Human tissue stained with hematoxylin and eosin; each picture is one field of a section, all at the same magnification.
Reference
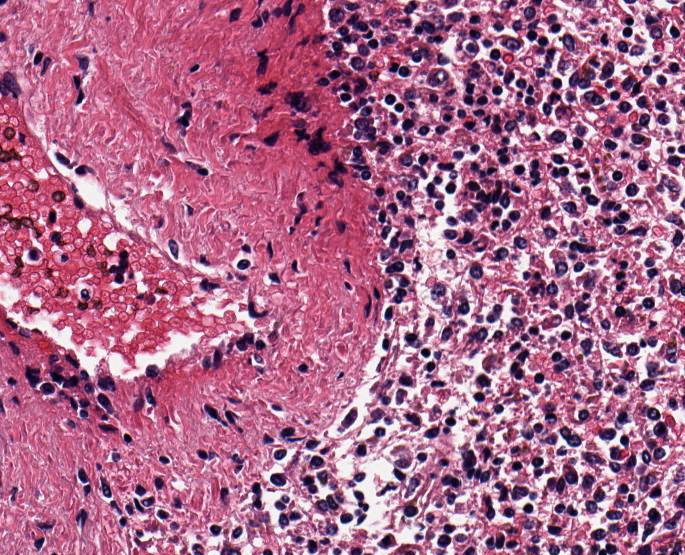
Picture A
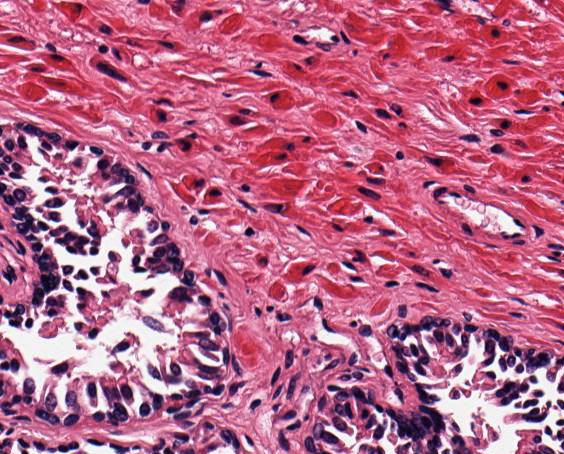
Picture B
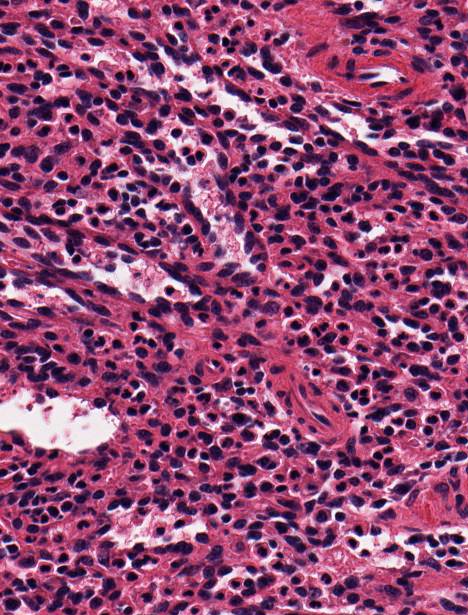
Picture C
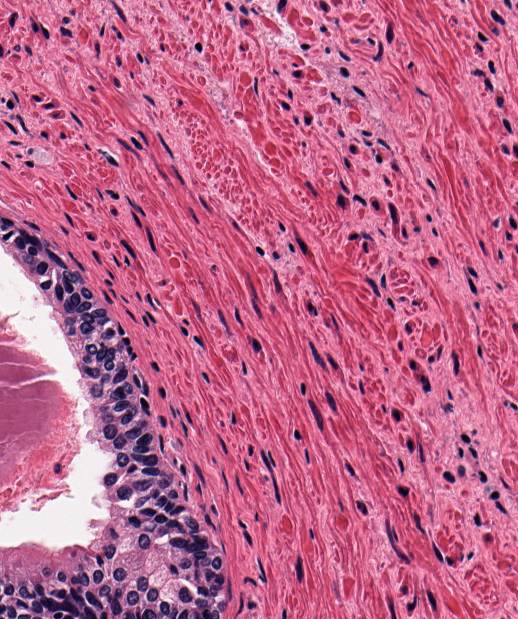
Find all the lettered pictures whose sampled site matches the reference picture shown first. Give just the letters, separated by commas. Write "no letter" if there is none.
B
